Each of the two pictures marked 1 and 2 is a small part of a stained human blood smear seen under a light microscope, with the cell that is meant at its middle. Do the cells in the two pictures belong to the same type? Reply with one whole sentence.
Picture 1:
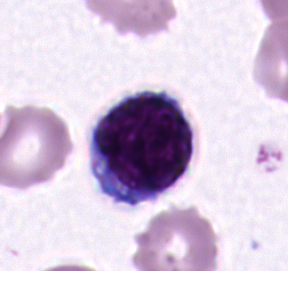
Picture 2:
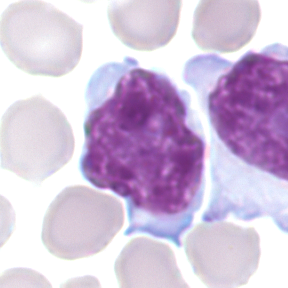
Yes, both are plasma cells.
